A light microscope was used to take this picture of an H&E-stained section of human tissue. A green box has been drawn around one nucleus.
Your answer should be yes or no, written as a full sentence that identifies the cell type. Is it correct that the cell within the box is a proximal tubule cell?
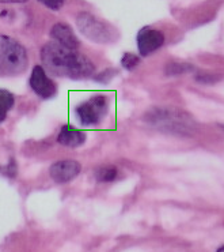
No, on this slide the cell within the box is a carcinoma cell, not a proximal tubule cell.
